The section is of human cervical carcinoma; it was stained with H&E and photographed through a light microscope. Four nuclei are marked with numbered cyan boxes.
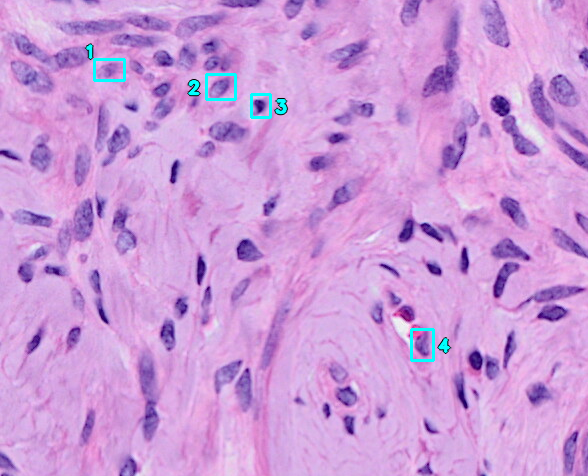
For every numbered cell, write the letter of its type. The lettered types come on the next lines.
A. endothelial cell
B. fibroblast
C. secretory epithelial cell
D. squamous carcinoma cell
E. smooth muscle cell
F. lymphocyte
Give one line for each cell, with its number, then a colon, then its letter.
1: E
2: E
3: F
4: A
